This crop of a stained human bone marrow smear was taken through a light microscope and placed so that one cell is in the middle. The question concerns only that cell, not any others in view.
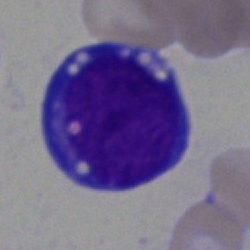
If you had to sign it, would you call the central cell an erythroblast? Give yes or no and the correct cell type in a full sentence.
No, the central cell qualifies as a blast rather than as an erythroblast.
